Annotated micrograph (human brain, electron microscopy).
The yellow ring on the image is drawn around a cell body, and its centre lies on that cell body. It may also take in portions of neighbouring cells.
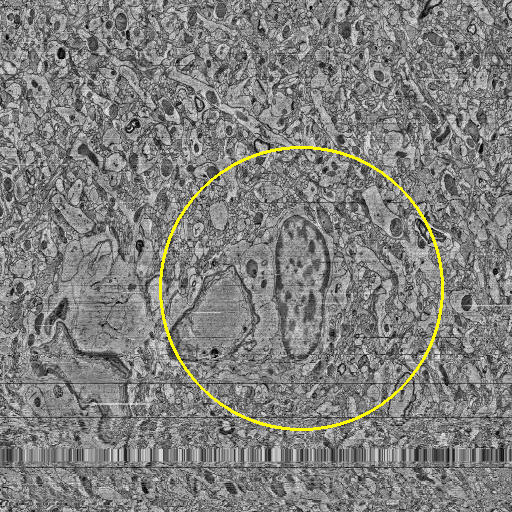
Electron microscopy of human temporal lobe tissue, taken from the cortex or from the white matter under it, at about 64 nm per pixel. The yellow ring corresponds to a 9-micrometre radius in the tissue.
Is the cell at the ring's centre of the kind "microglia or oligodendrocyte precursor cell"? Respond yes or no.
Yes, it is of the named kind.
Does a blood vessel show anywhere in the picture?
Yes.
